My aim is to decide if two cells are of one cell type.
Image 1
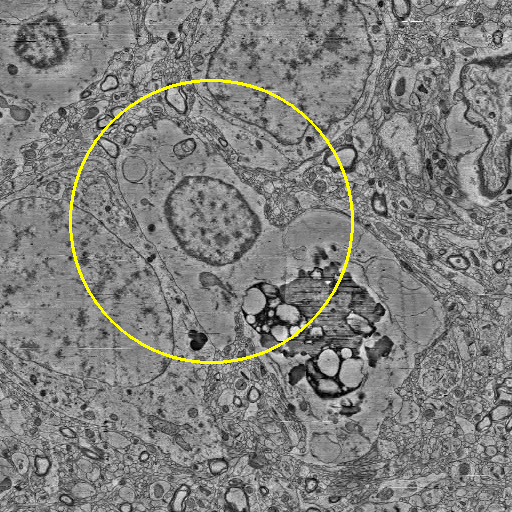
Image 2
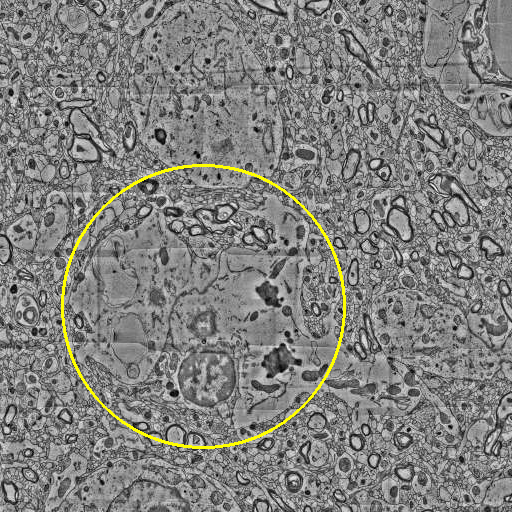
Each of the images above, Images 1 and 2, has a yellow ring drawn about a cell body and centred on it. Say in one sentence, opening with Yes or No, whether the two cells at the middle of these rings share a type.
Yes, in Images 1 and 2 the cells at the middle of the rings share one type.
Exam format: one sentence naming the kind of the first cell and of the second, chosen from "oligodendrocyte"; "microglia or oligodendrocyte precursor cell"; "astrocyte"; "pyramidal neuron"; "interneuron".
Each of the two cells is an astrocyte.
